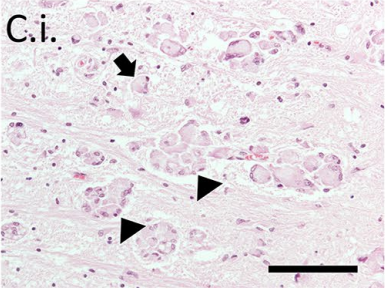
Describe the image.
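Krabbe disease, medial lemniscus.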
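White matter tract with clusters of large rounded globoid cells with pale, foamy cytoplasm, some holding several nuclei. Single foamy macrophages with one nucleus lie between the clusters, among pale fibre bundles.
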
